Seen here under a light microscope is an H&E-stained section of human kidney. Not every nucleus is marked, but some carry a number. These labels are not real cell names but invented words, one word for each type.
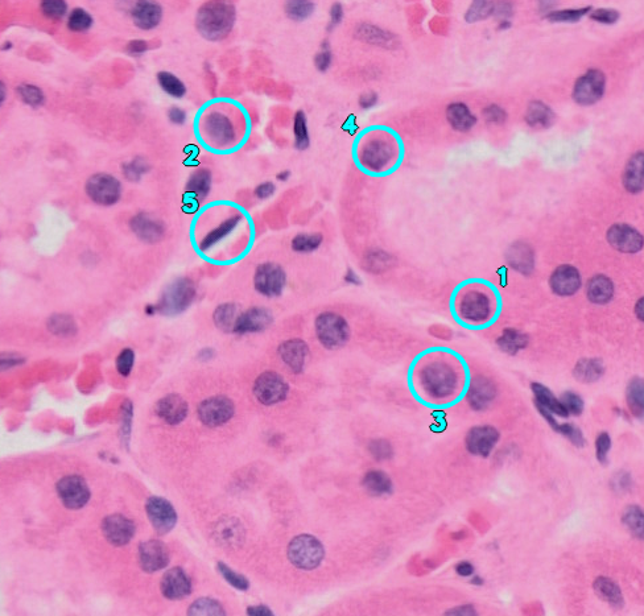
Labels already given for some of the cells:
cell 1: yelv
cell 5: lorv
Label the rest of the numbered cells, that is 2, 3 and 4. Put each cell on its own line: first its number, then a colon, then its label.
2: lorv
3: yelv
4: yelv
